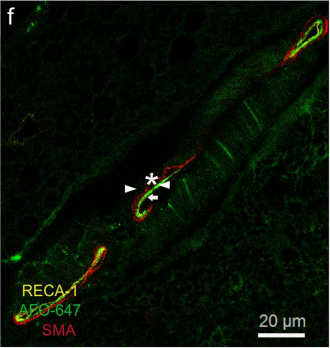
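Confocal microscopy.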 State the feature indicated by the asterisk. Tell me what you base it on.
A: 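The asterisk lies beside a red layer forming the outer wall of the vessel.
Hence: tunica media.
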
